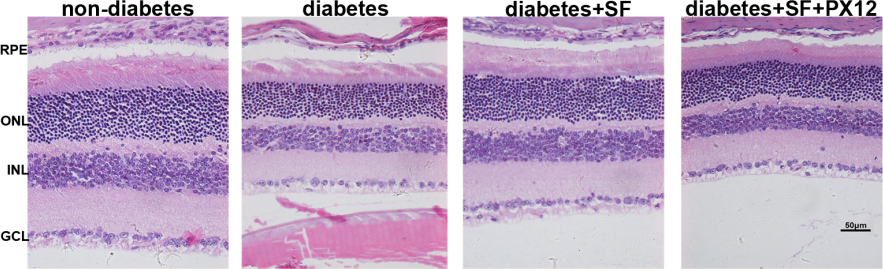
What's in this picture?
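Four cross-sections of retina stained with hematoxylin and eosin are shown side by side, each with the same stack of layers. A thin pigmented epithelial layer at the top overlies pale pink photoreceptor segments, then a broad band of densely packed dark purple nuclei, a pink fibrous layer, a second band of purple nuclei that is less tightly packed, a wider pale pink fibrous layer, and at the bottom a single sparse row of rounder nuclei. The nuclear bands and the fibrous layers are visibly thinner in the second and fourth sections than in the first.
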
